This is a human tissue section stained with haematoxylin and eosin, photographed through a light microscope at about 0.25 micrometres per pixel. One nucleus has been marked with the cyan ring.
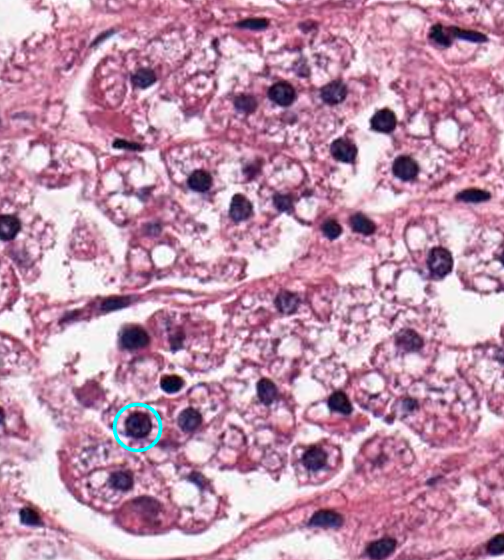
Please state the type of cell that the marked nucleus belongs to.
adrenal cortical cell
